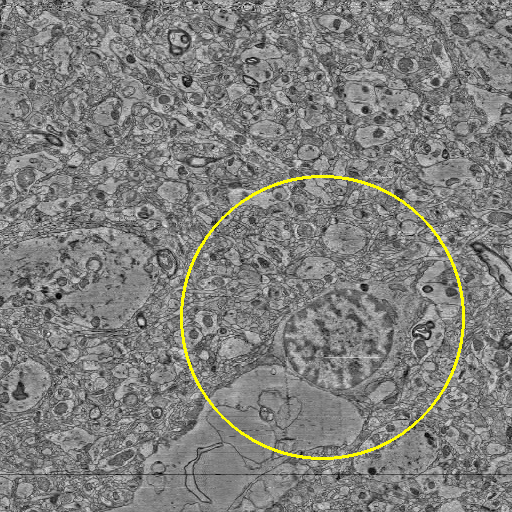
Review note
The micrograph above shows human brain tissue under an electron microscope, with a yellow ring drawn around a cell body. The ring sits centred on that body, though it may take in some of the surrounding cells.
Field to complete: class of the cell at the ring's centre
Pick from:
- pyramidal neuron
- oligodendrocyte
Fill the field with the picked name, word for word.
oligodendrocyte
